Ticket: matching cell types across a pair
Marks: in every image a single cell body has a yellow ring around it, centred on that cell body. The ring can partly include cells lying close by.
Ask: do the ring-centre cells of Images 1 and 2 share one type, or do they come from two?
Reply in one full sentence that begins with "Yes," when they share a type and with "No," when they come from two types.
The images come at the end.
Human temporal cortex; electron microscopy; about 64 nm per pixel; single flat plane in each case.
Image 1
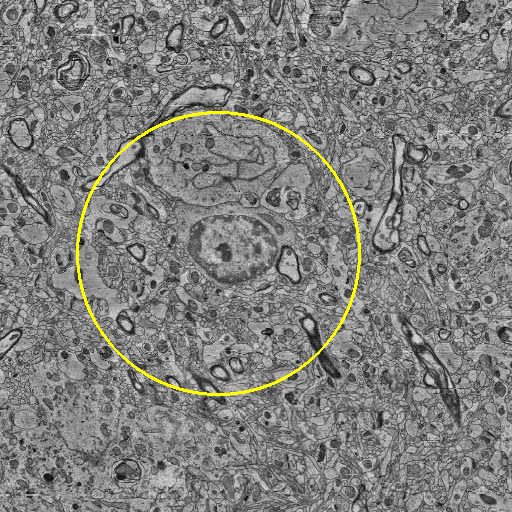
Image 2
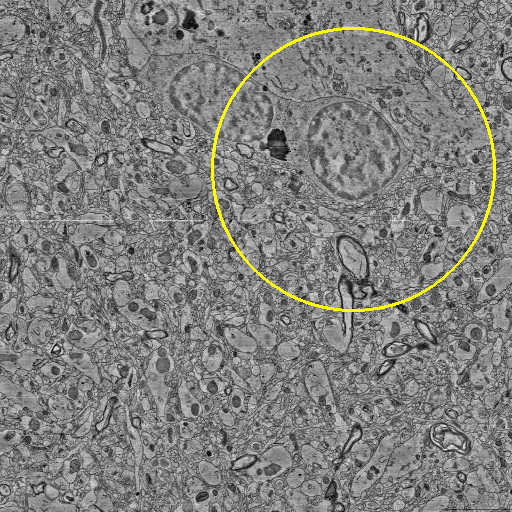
Yes, the cells in the centres of the rings in Image 1 and Image 2 share one type.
